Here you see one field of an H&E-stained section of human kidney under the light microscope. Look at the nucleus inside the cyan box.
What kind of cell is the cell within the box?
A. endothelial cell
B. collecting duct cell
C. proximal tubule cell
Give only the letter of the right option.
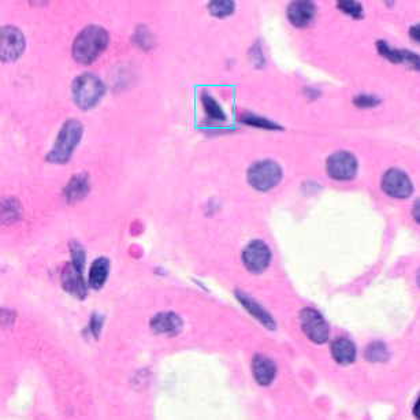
A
